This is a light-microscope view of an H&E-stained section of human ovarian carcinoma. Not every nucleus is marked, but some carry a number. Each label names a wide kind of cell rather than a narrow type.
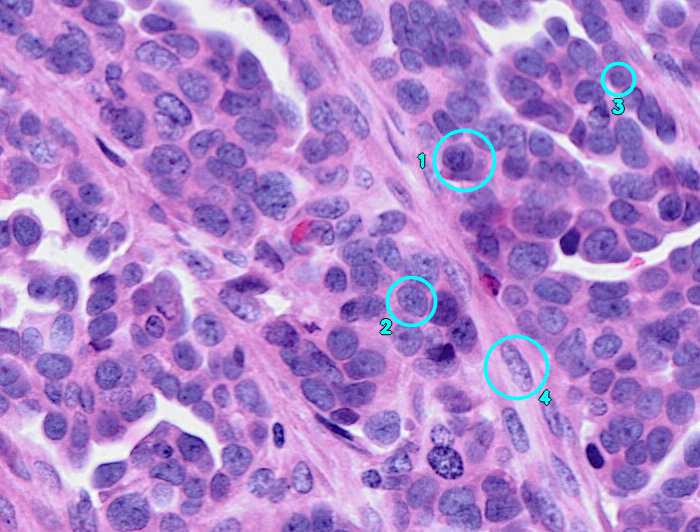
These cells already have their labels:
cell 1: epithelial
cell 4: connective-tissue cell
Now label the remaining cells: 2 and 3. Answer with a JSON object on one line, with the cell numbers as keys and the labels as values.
{"2": "epithelial", "3": "epithelial"}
